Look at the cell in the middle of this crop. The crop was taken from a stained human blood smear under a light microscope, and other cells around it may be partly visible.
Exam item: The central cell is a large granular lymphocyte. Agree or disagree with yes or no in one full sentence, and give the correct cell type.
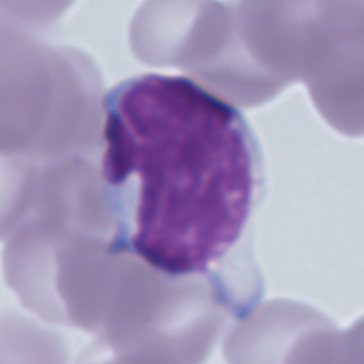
Yes, at the centre of the crop lies a large granular lymphocyte.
